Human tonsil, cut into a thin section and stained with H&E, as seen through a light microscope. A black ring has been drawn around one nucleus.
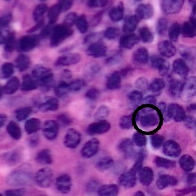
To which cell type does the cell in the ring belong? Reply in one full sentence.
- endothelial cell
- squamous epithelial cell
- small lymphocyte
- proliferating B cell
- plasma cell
The cell meant here is a small lymphocyte.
